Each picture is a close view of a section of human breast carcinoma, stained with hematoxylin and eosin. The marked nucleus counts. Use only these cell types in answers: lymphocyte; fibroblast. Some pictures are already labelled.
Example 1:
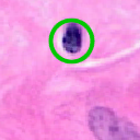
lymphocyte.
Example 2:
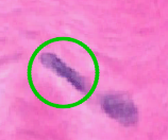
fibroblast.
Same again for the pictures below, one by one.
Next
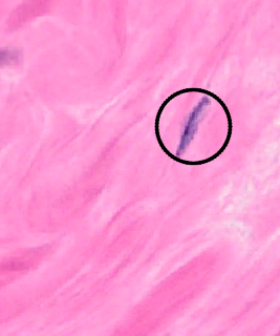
fibroblast.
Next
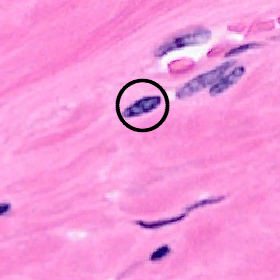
lymphocyte.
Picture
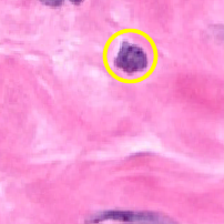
lymphocyte.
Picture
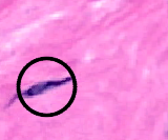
fibroblast.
